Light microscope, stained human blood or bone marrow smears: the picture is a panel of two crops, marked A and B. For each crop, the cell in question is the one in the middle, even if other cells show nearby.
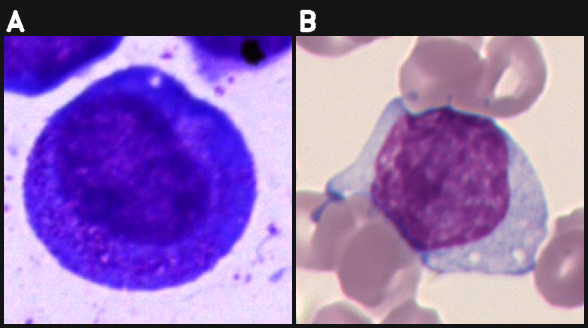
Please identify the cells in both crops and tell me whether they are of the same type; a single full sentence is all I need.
No, for crop A the cell is a promyelocyte, and for crop B it is a blast.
